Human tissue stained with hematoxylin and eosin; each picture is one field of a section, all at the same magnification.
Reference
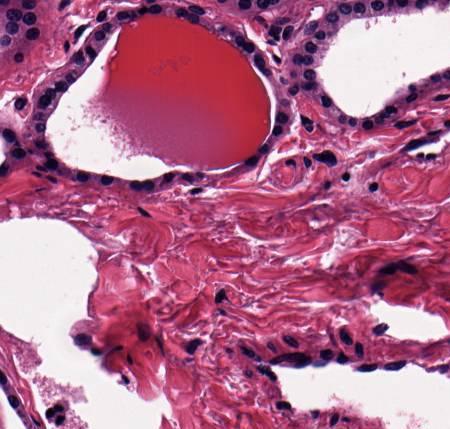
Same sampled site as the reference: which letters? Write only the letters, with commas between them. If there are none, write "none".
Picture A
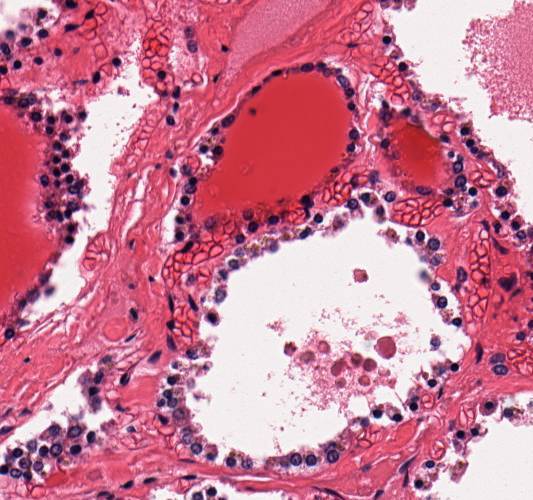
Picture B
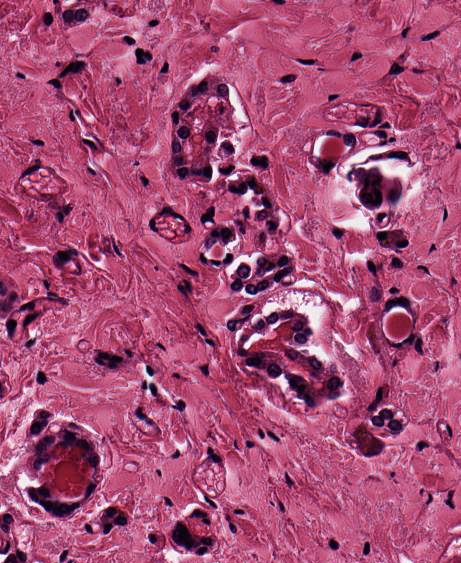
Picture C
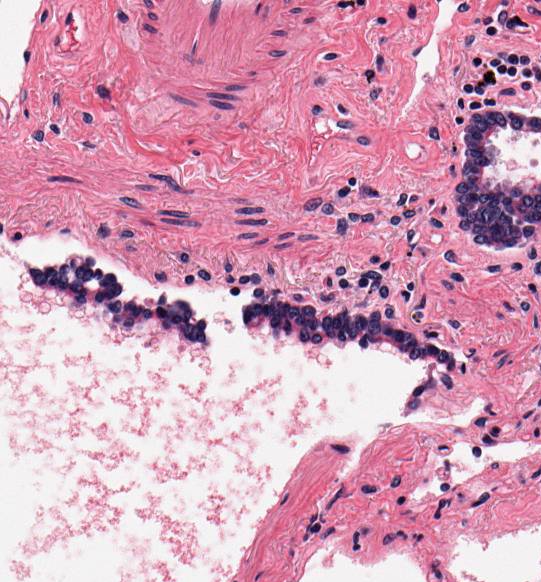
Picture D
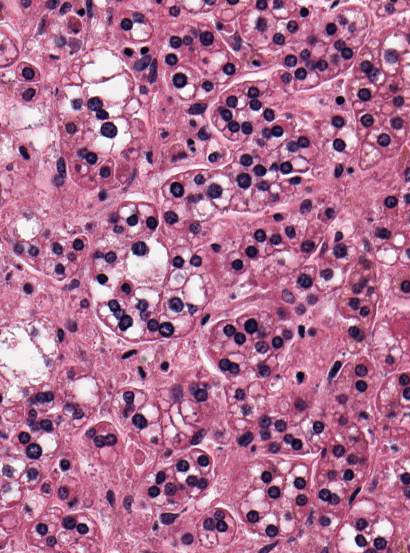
A, B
